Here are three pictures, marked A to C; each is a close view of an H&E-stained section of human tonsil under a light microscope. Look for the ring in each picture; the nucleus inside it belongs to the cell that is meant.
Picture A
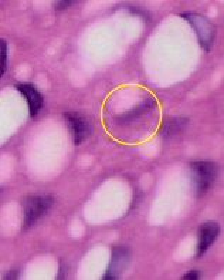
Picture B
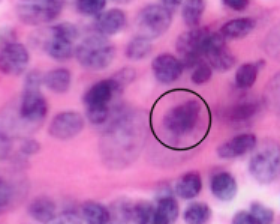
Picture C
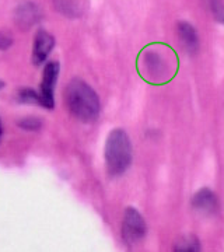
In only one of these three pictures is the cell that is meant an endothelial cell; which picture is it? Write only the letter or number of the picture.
B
